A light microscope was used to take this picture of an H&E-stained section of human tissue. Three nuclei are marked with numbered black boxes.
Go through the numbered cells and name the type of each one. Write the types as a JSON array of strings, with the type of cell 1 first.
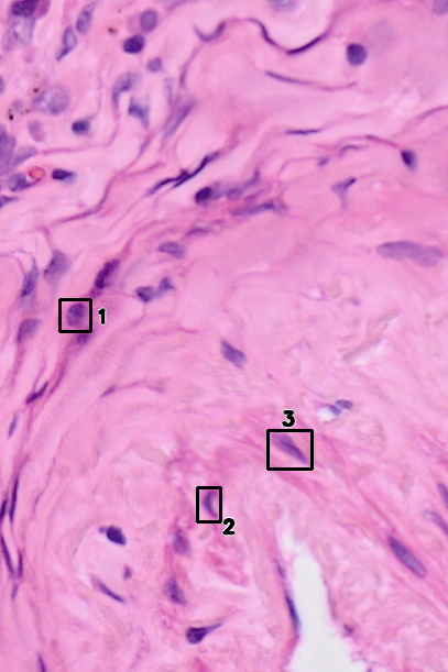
["mast cell", "smooth muscle cell or pericyte", "smooth muscle cell or pericyte"]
